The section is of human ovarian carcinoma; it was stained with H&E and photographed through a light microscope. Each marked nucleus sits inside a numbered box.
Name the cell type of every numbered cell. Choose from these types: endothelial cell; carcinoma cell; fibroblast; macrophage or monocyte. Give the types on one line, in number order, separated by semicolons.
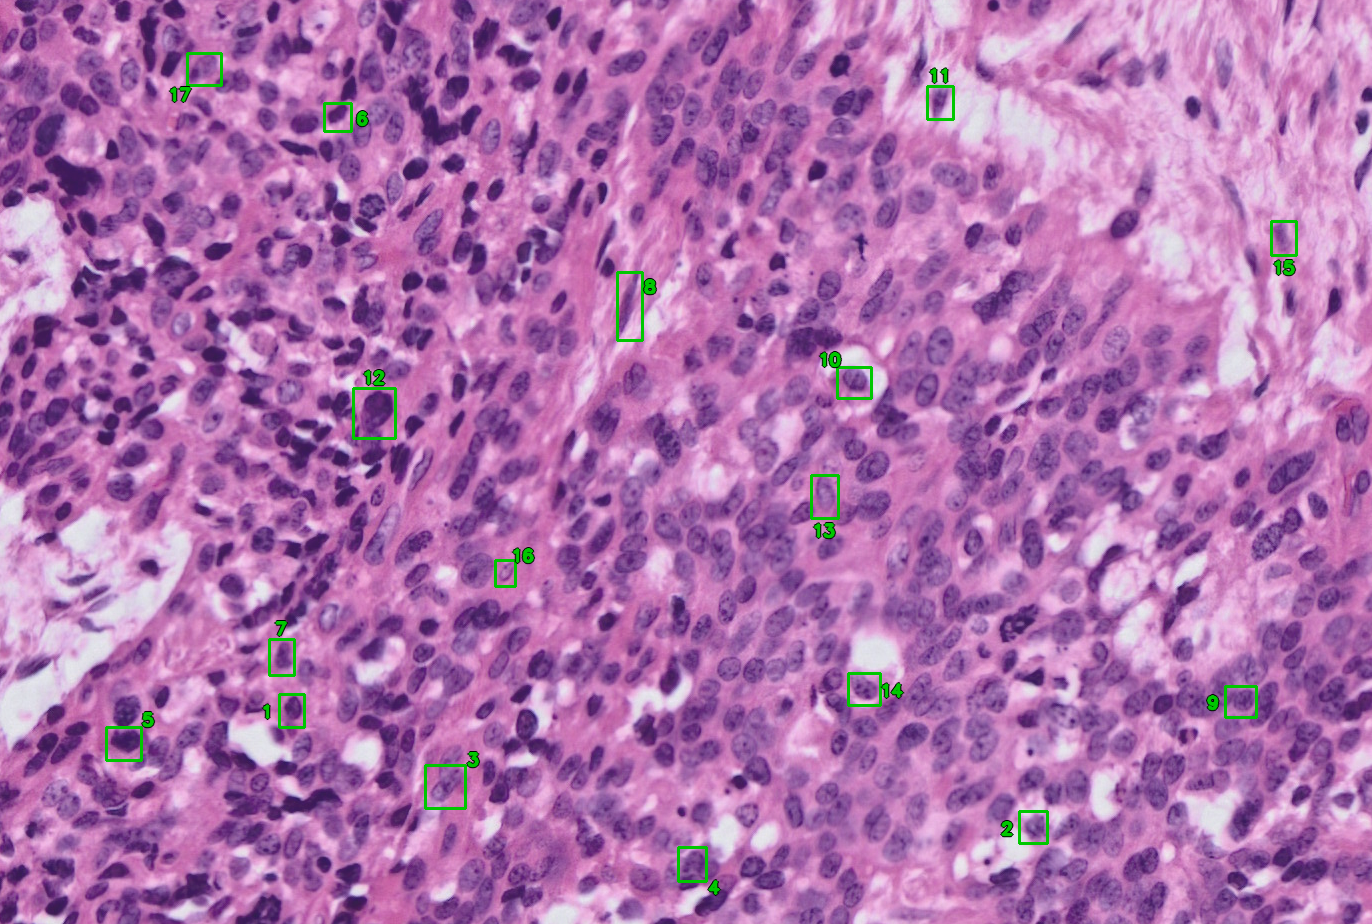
macrophage or monocyte; macrophage or monocyte; endothelial cell; carcinoma cell; carcinoma cell; carcinoma cell; macrophage or monocyte; fibroblast; carcinoma cell; macrophage or monocyte; fibroblast; carcinoma cell; endothelial cell; macrophage or monocyte; fibroblast; endothelial cell; carcinoma cell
